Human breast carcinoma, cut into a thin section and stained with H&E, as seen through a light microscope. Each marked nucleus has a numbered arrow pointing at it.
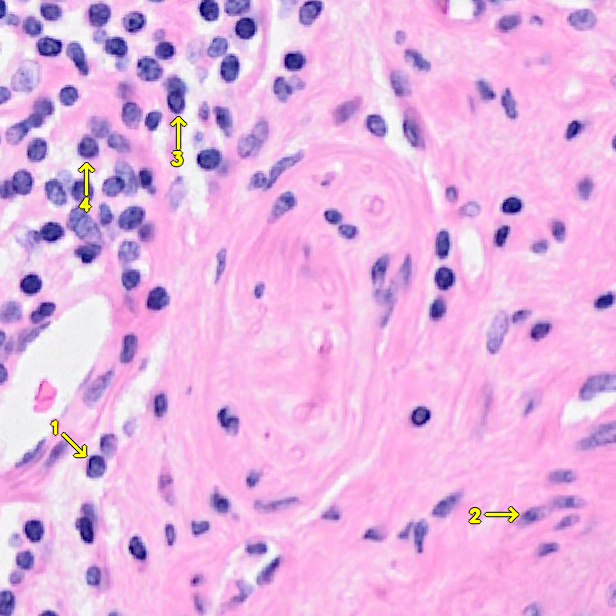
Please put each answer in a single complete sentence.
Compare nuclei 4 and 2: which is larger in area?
The larger nucleus is 4, at roughly 2 times the area of 2.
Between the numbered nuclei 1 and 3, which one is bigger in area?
At about 1.5 times the area of nucleus 3, nucleus 1 is the larger of the two.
